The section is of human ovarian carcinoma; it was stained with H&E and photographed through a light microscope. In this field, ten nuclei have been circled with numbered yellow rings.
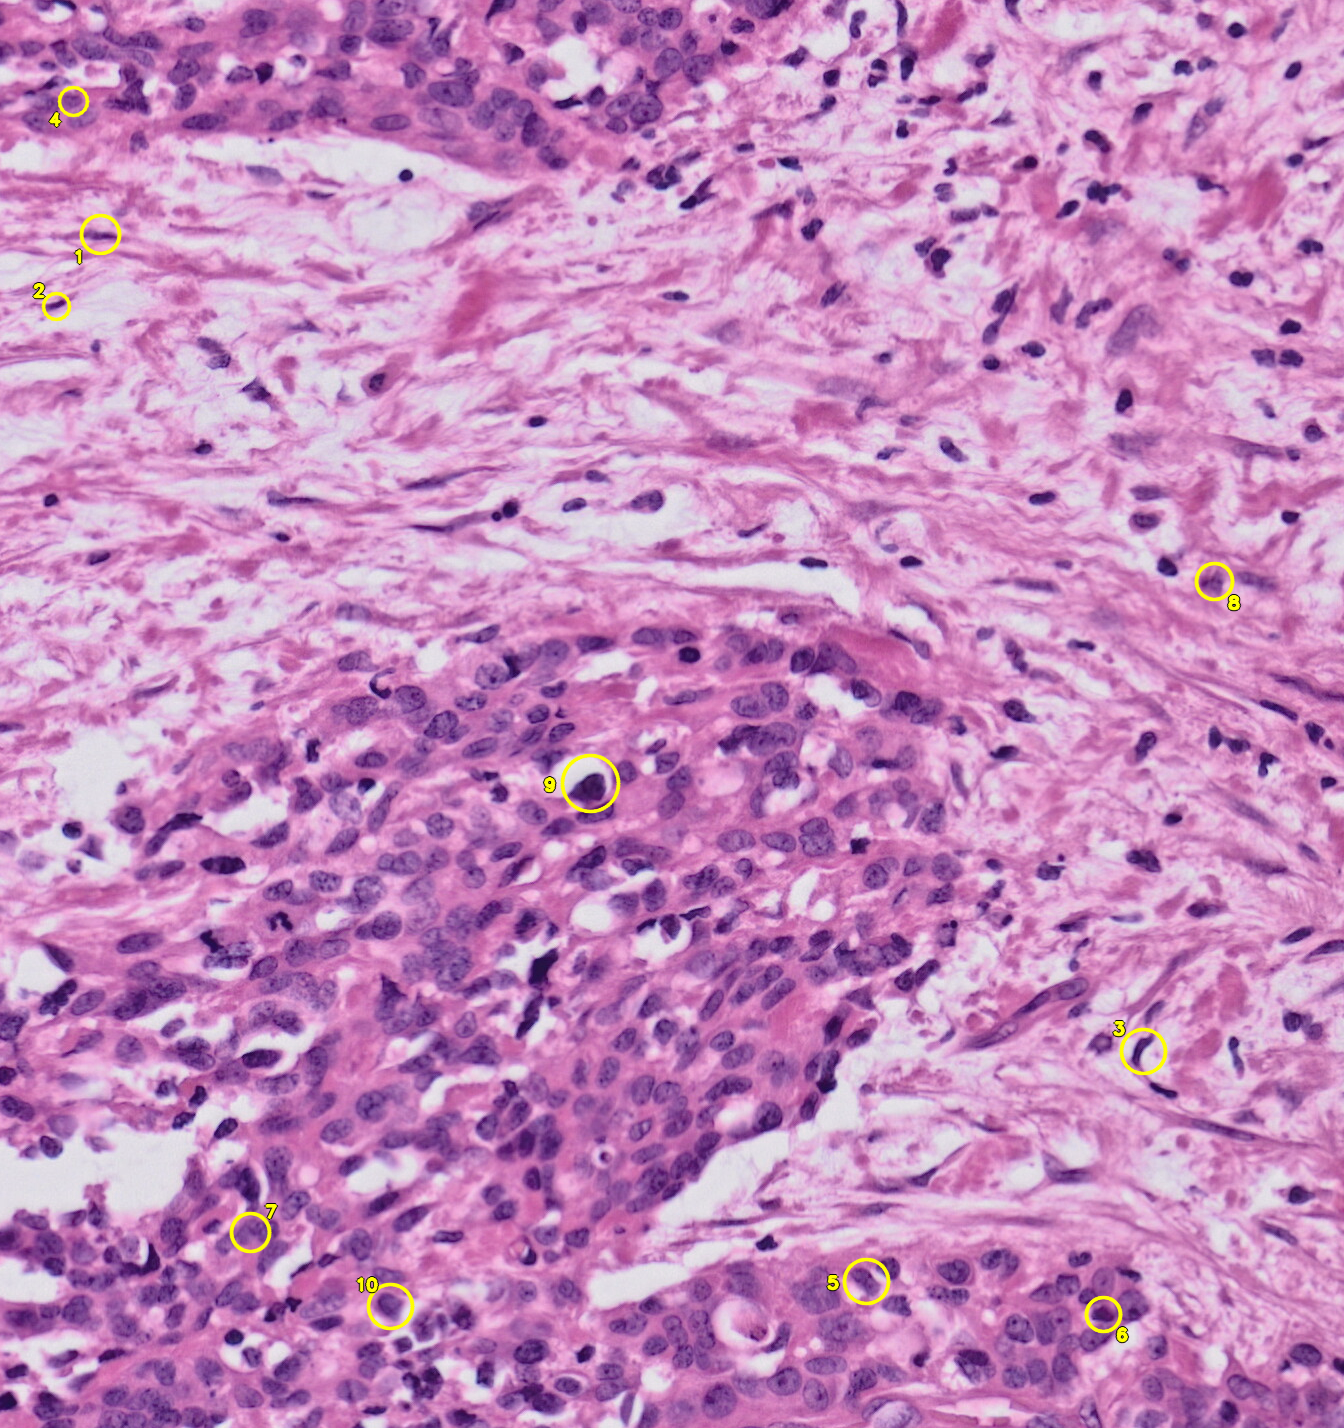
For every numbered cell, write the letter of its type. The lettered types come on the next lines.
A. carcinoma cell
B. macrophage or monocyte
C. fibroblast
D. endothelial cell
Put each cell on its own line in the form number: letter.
1: C
2: C
3: C
4: A
5: A
6: A
7: A
8: C
9: A
10: A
